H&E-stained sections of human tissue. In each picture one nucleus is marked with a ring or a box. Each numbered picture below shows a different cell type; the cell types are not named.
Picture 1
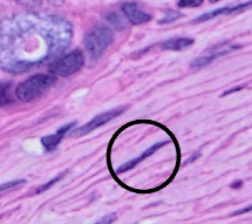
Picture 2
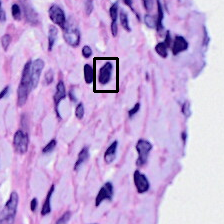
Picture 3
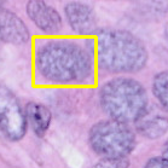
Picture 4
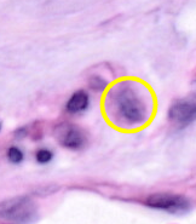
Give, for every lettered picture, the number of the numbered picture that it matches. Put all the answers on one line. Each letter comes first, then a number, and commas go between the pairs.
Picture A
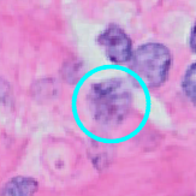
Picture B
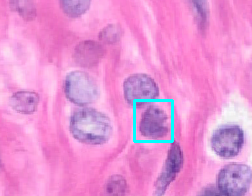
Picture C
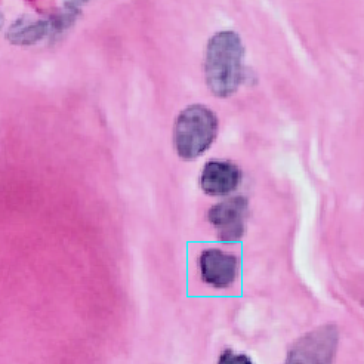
A 3, B 3, C 2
